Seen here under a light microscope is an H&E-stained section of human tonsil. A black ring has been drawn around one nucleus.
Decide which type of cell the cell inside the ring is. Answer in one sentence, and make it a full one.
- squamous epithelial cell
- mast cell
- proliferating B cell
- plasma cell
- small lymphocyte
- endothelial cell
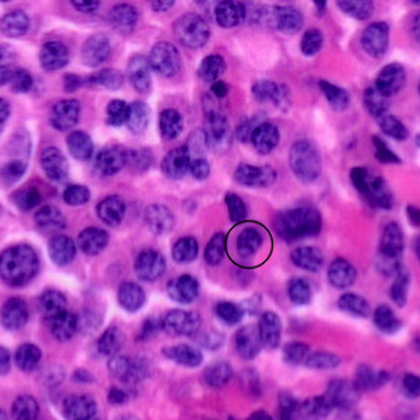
Typologically, the cell inside the ring is a plasma cell in this section.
